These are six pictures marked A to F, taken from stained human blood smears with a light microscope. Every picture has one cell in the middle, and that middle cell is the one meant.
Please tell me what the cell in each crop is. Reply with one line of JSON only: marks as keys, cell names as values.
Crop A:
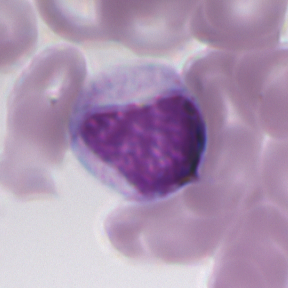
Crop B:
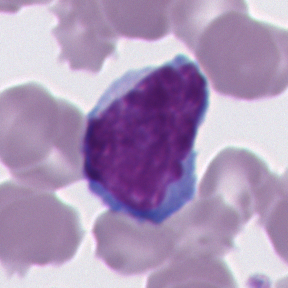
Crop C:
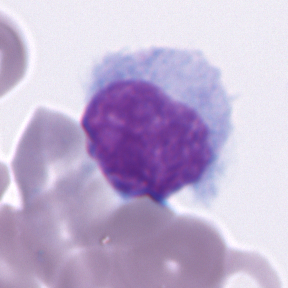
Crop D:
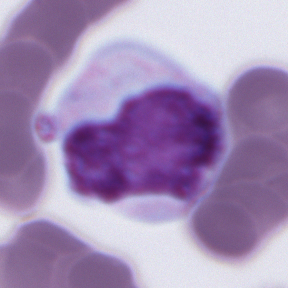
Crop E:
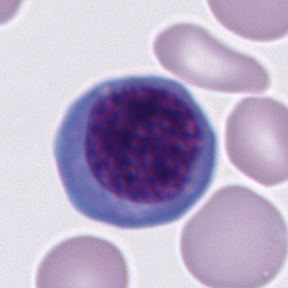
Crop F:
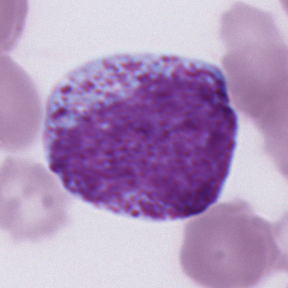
{"A": "metamyelocyte", "B": "typical lymphocyte", "C": "hairy cell", "D": "metamyelocyte", "E": "normoblast", "F": "myelocyte"}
